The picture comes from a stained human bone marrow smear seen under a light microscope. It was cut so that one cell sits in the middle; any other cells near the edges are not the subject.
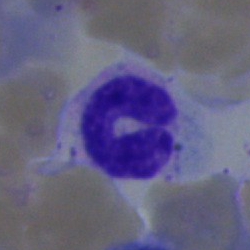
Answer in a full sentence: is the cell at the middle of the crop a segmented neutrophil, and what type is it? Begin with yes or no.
No, the central cell is designated a band neutrophil and not a segmented neutrophil.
